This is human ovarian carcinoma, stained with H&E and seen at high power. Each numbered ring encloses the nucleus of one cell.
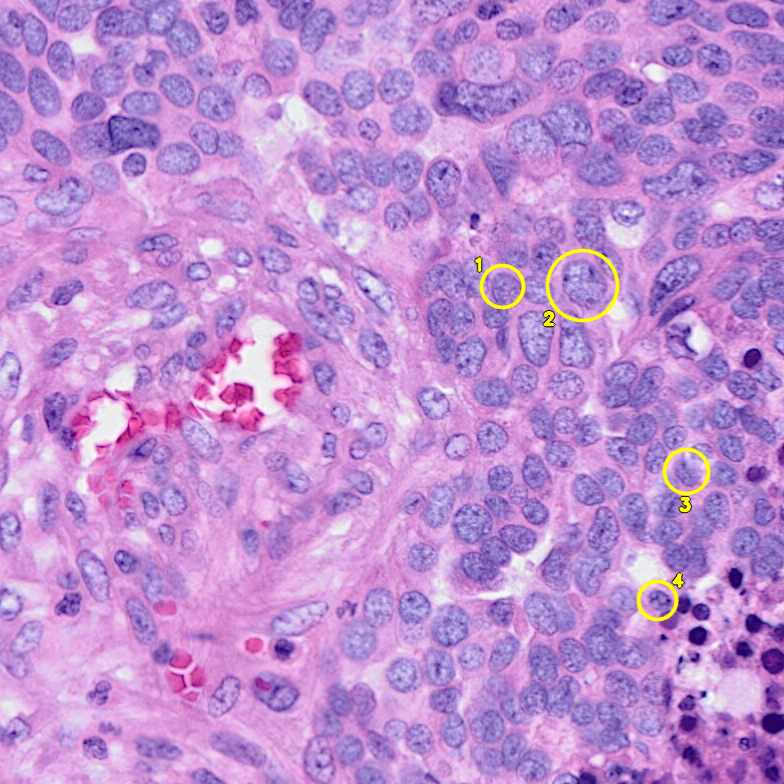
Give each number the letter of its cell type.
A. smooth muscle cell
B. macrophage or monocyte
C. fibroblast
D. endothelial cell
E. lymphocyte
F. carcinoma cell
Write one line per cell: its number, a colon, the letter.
1: F
2: F
3: F
4: B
